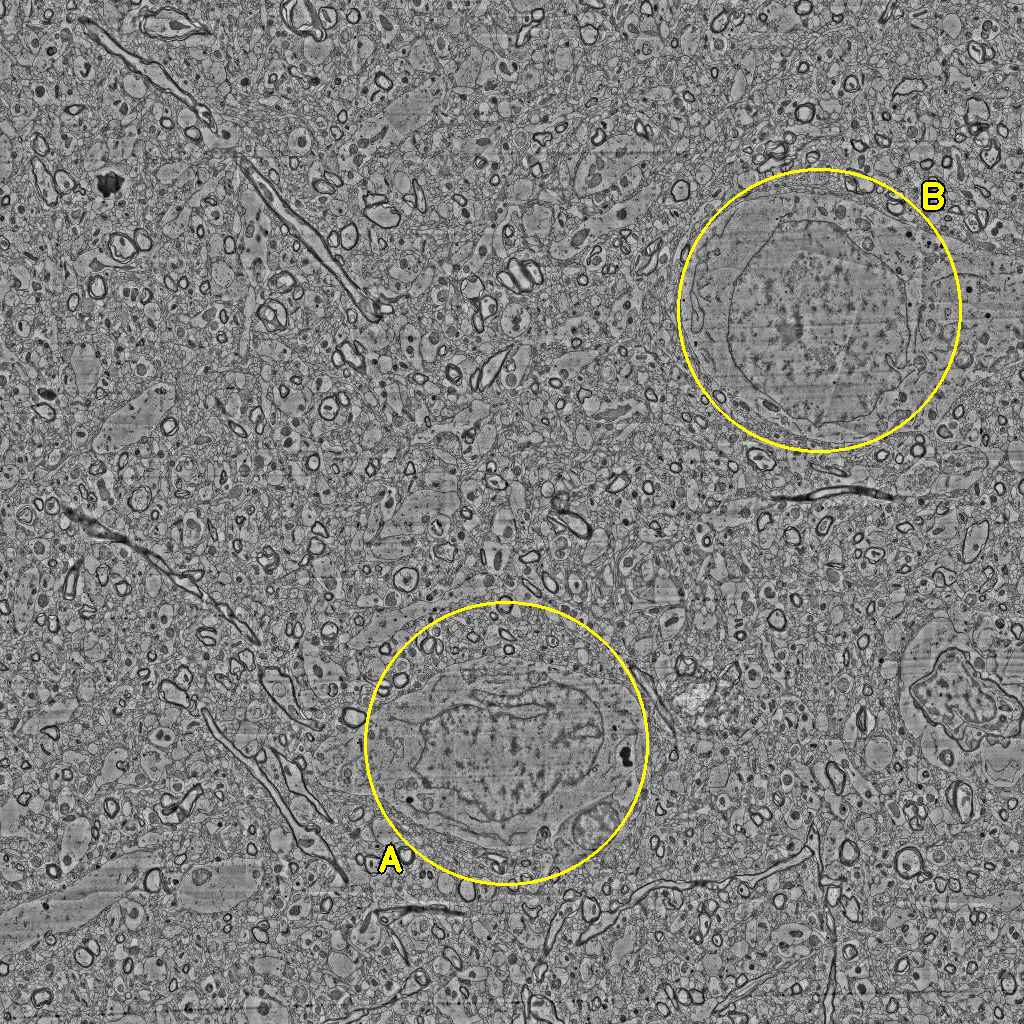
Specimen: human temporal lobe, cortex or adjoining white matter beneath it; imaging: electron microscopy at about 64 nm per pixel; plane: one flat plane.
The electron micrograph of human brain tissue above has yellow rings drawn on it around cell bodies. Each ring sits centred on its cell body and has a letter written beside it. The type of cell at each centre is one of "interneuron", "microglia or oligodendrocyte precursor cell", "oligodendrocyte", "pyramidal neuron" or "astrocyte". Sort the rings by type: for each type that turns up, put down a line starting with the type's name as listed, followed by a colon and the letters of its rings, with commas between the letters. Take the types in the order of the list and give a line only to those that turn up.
interneuron: A
pyramidal neuron: B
